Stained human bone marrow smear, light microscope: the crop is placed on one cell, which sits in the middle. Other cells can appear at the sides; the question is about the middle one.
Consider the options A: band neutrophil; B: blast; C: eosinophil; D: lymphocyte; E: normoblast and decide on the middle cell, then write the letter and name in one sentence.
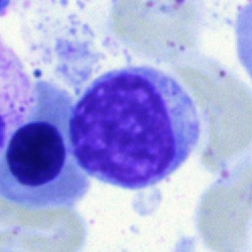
The cell in the center of this crop is a lymphocyte, so option D is the one to pick.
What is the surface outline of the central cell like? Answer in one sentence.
No projections interrupt the outline; it is smooth all the way round.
